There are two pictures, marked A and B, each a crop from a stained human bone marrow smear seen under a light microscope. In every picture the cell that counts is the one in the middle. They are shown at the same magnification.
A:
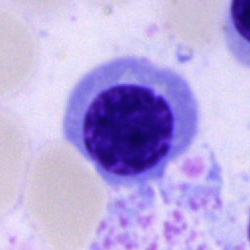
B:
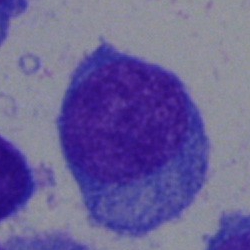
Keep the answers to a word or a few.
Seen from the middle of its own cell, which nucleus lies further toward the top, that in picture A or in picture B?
B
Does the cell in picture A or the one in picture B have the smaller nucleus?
A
